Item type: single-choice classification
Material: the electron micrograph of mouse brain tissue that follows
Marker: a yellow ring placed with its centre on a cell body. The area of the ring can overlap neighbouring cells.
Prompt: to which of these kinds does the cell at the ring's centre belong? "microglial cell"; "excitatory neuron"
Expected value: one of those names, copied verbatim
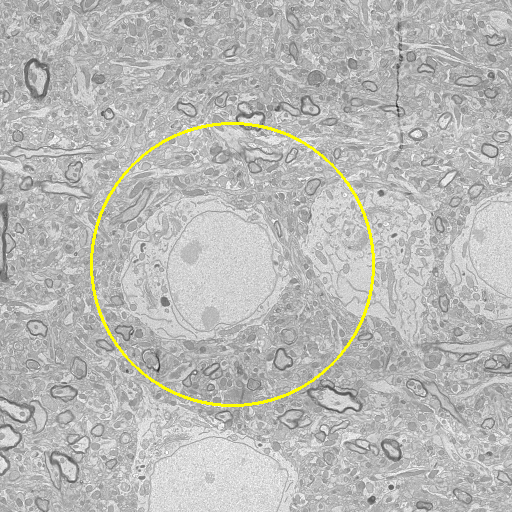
excitatory neuron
